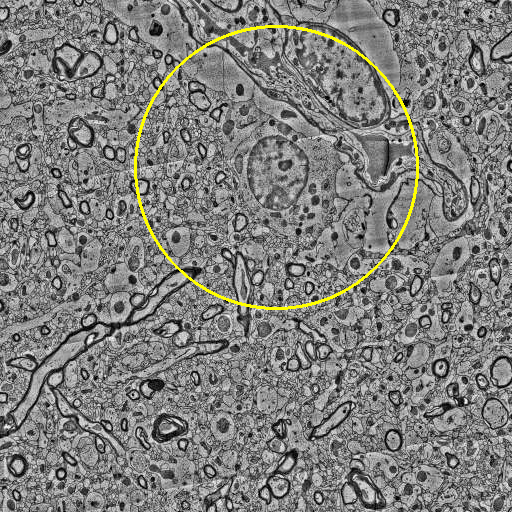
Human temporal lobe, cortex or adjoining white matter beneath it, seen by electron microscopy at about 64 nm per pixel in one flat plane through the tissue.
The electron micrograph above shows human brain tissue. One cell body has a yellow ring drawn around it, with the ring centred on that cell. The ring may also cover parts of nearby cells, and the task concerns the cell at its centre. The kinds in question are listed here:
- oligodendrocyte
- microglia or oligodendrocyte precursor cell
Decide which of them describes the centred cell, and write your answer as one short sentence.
The centred cell is an oligodendrocyte.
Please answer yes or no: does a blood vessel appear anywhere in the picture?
Yes.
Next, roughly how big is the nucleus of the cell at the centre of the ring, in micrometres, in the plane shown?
The nucleus appears roughly 5 by 4 micrometres in this plane.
